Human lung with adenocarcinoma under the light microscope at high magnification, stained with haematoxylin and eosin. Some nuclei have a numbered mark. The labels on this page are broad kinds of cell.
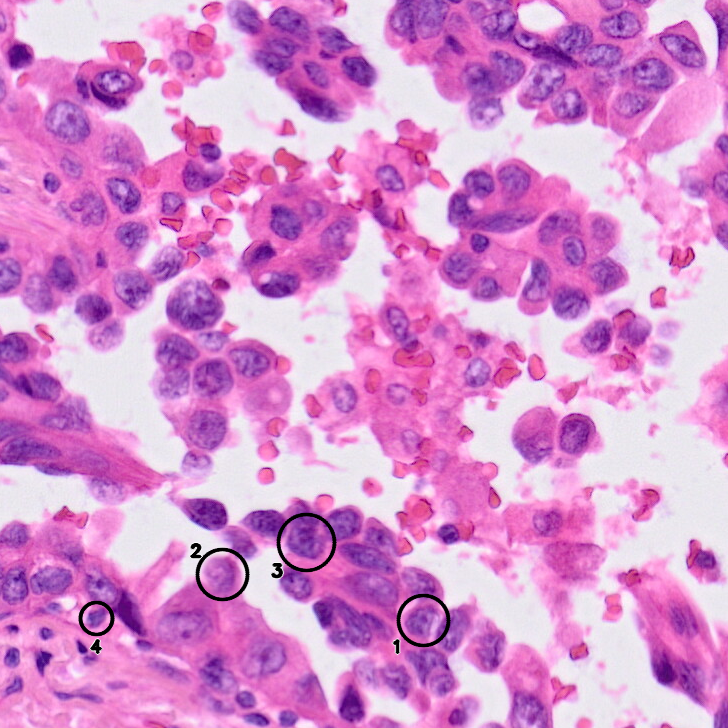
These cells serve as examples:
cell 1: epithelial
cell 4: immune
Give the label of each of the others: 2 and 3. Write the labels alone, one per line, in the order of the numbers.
epithelial
epithelial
